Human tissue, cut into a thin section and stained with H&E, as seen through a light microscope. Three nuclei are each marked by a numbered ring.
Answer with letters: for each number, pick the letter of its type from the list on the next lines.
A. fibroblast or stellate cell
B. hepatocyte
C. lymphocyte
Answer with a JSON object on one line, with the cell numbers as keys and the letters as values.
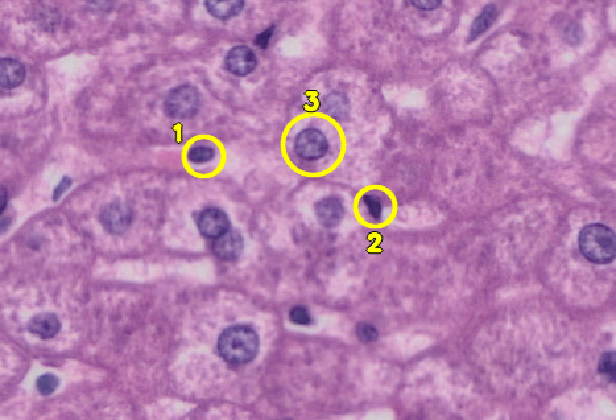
{"1": "C", "2": "A", "3": "B"}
